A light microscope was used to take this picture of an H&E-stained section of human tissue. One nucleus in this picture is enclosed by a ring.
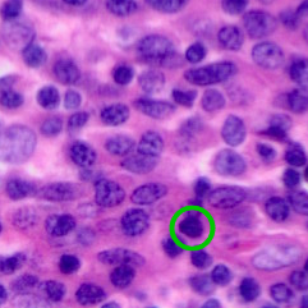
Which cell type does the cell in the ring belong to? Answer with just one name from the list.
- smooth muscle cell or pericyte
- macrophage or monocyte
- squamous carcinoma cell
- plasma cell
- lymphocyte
plasma cell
